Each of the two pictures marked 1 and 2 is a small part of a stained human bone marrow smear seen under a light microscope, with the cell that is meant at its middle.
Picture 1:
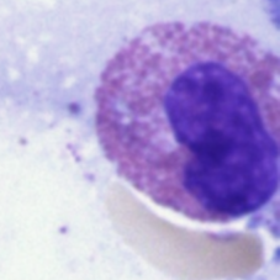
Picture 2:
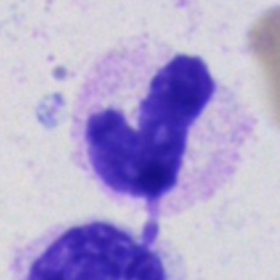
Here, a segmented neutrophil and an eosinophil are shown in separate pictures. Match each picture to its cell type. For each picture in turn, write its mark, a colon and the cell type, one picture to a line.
1: eosinophil
2: segmented neutrophil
